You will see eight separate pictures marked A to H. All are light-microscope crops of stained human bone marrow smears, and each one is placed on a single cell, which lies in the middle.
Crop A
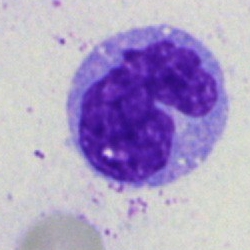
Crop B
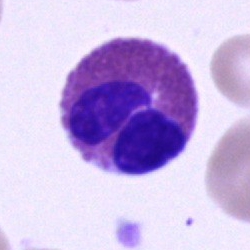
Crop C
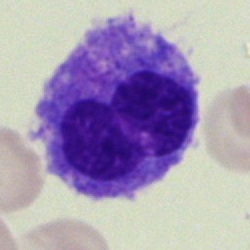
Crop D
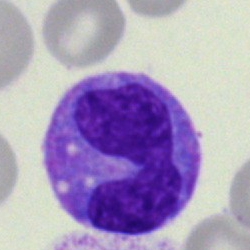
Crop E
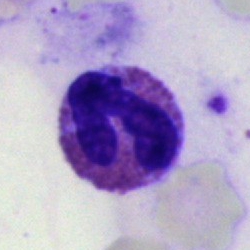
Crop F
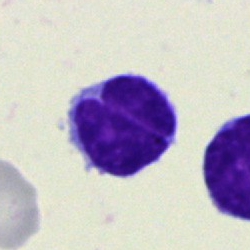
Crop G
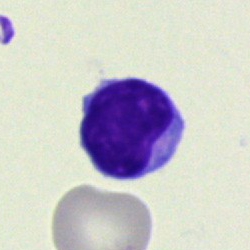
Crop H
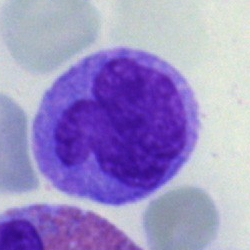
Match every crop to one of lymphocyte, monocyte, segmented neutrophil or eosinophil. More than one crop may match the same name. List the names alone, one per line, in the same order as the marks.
monocyte
eosinophil
monocyte
monocyte
eosinophil
lymphocyte
lymphocyte
monocyte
